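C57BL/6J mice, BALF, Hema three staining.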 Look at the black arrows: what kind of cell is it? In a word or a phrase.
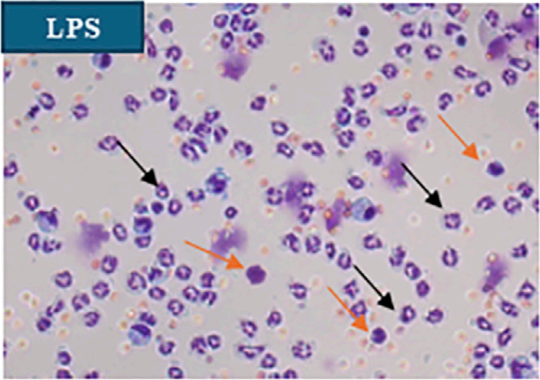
Neutrophils.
